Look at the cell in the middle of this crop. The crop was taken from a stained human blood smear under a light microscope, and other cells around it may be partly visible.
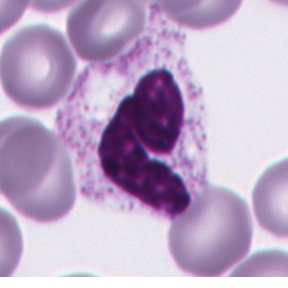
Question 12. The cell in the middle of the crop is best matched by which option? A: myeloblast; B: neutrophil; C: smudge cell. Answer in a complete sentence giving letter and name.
The correct option, B, names the middle cell as a neutrophil.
